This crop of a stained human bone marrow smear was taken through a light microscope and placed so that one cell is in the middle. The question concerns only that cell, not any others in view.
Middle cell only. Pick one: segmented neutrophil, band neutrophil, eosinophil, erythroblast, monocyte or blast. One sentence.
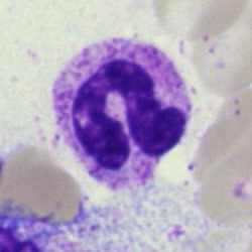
In the centre of this crop there is a segmented neutrophil.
